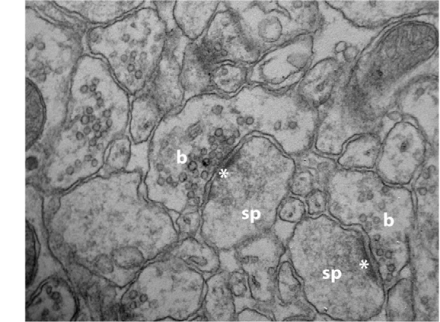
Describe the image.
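Two synapses are marked: in each, a presynaptic bouton filled with small round clear vesicles lies against a dendritic spine. At each contact the spine membrane carries a dark, dense thickening, the postsynaptic density. A mitochondrion with cristae is visible in a profile at the upper right.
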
